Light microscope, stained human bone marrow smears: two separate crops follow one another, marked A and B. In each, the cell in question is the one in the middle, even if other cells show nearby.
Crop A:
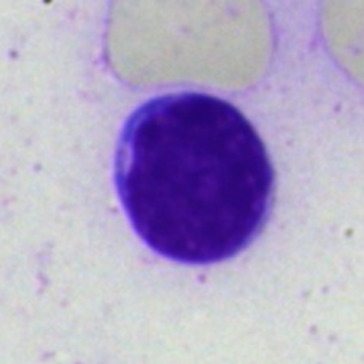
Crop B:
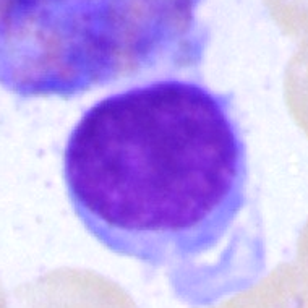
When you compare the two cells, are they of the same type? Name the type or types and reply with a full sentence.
Yes, both crops show lymphocytes as their central cells.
